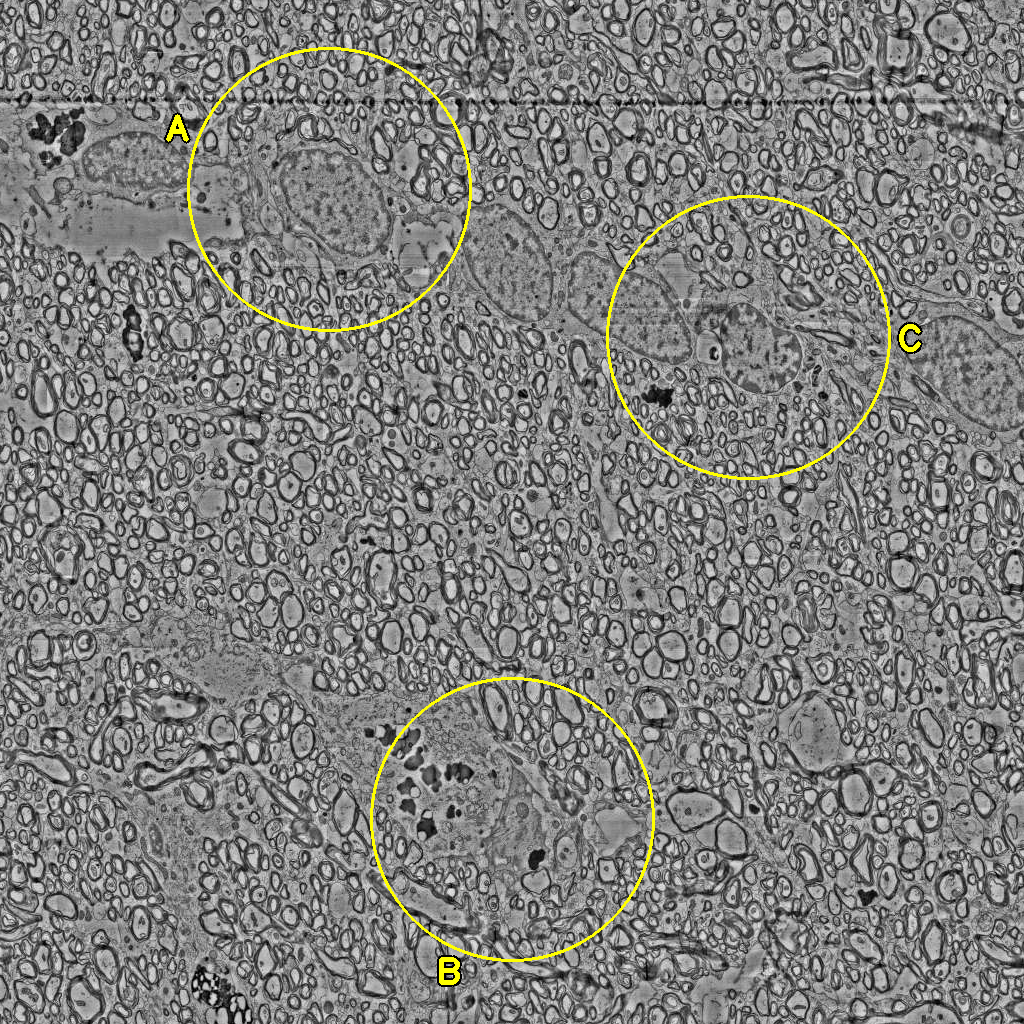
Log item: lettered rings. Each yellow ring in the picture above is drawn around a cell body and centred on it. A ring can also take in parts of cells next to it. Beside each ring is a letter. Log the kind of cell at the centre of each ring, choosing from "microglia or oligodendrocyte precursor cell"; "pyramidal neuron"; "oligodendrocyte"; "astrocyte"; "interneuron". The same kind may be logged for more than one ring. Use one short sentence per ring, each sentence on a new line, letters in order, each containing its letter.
Within ring A, the centre is taken by an oligodendrocyte.
Within ring B, the centre is taken by an oligodendrocyte.
Within ring C, the centre is taken by a microglial cell or oligodendrocyte precursor cell.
